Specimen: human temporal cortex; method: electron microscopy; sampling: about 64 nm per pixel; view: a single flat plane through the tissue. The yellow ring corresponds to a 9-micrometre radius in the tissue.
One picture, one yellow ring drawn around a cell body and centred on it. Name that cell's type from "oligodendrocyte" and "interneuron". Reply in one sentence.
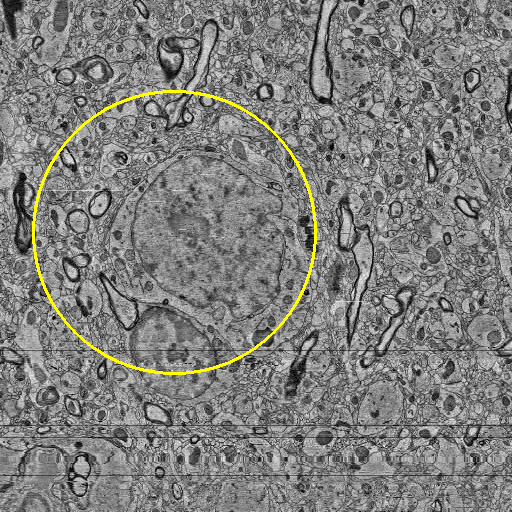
Centred in the ring is an interneuron.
